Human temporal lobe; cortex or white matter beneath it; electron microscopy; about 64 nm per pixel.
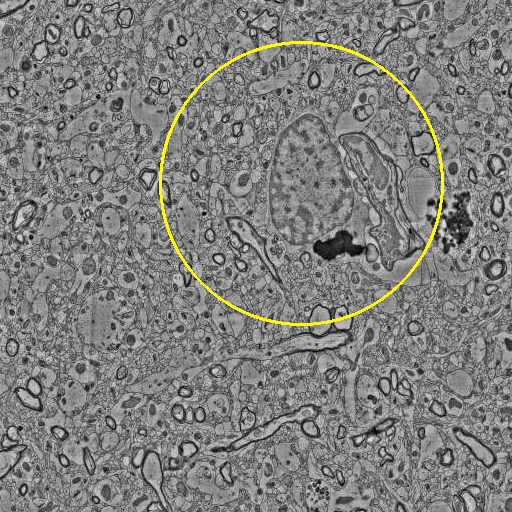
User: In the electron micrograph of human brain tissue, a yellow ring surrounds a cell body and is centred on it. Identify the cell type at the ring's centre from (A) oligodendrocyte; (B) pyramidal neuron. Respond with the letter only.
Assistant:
A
